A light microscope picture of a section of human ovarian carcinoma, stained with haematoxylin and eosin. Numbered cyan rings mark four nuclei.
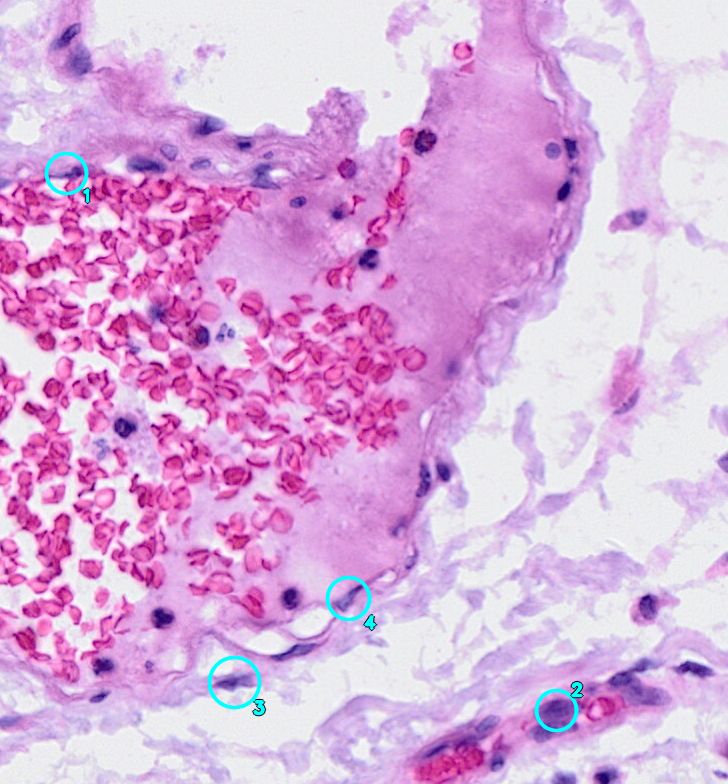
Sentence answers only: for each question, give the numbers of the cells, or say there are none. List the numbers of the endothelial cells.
The cells marked with the numbers 1, 2 and 4 are endothelial cells.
